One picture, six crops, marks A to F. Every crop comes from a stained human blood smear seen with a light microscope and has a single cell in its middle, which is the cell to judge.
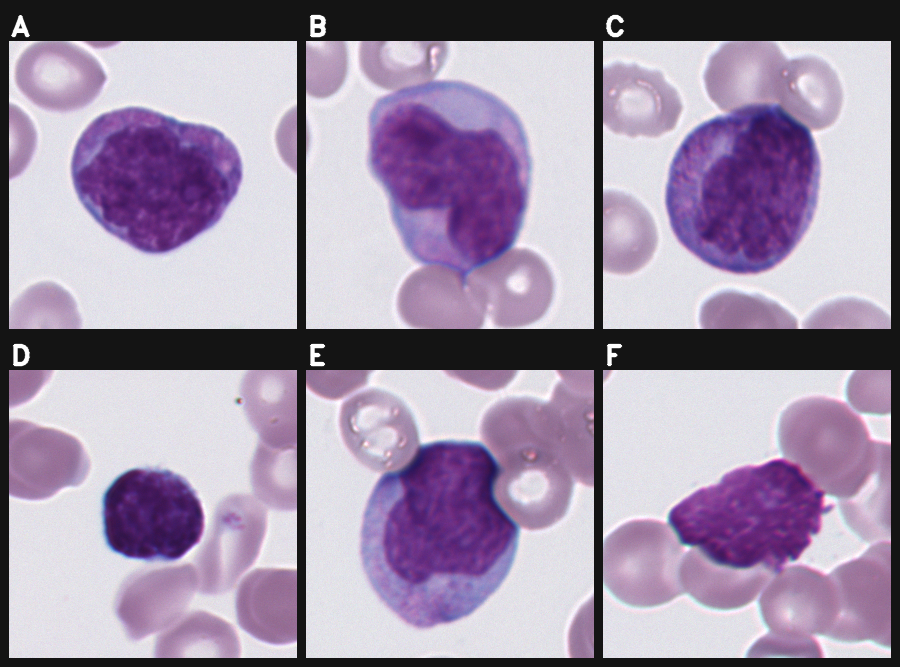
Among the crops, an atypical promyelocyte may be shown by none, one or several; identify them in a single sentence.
The crops A, B, C and E are those with atypical promyelocytes at the centre.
